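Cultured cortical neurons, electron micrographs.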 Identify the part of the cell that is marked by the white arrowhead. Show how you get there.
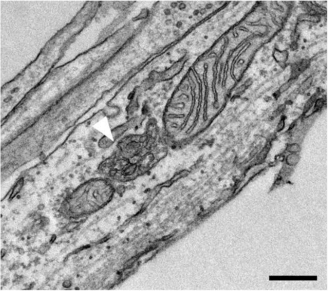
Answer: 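A small membrane-bound compartment with dense, membranous contents lies next to a mitochondrion. Its contents differ from the surrounding cytoplasm.
Answer: autophagic vacuoles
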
